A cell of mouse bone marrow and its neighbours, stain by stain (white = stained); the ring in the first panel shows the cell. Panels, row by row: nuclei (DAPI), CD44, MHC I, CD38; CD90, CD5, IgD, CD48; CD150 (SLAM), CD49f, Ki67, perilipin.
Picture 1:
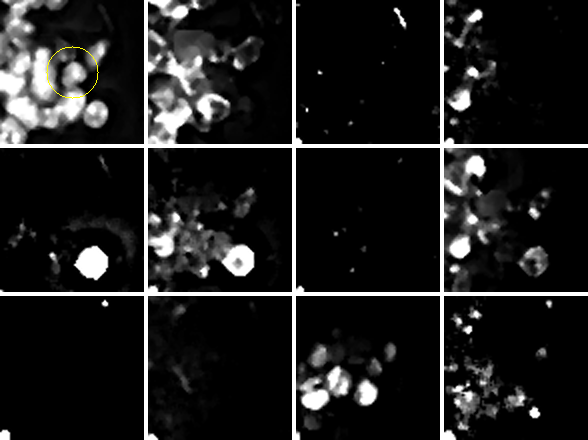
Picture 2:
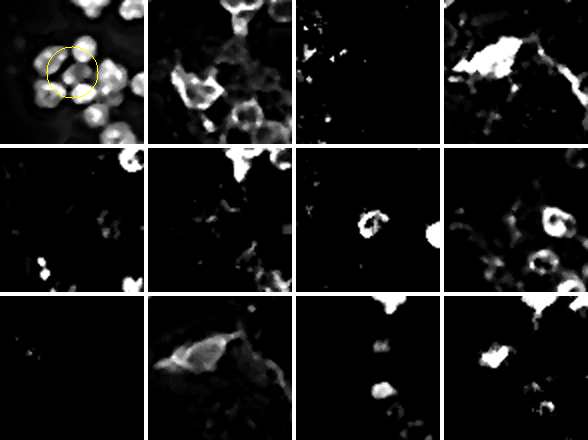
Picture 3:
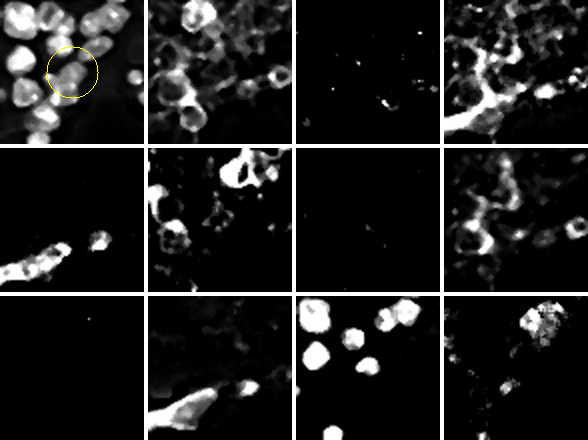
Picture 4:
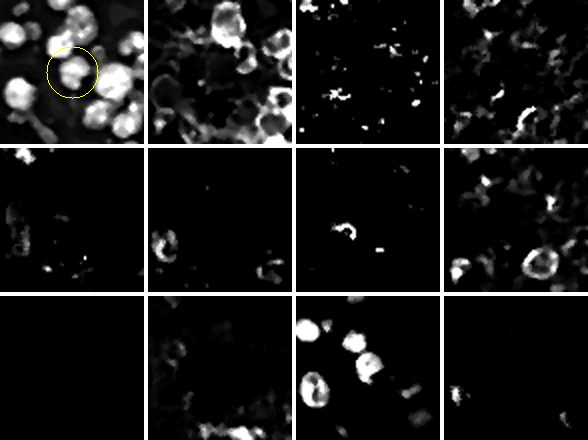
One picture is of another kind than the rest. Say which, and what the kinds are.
Picture 2 shows a capillary endothelial cell; the rest show erythroblasts.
